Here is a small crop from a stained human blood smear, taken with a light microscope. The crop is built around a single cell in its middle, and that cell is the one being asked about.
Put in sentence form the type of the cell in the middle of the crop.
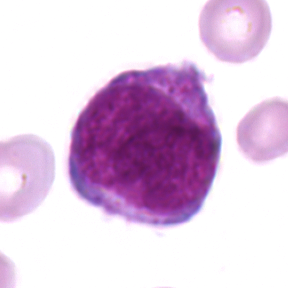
The centrally positioned cell in the crop represents an atypical promyelocyte.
